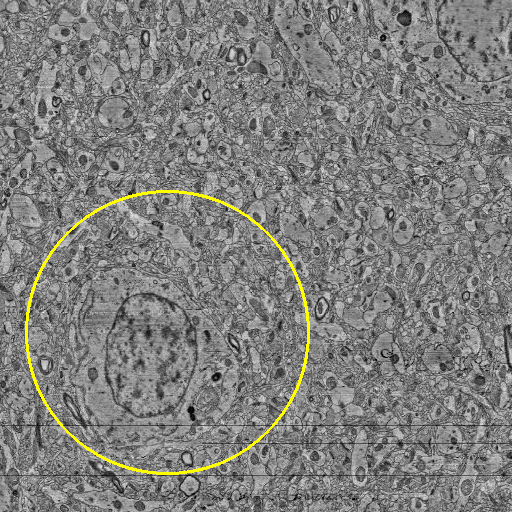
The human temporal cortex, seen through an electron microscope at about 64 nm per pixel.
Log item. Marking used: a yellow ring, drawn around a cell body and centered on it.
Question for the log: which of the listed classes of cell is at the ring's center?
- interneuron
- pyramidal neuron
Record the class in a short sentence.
At the center of the ring lies a pyramidal neuron.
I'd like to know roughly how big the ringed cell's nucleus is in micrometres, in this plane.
In this plane, roughly 8 by 6 micrometres.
